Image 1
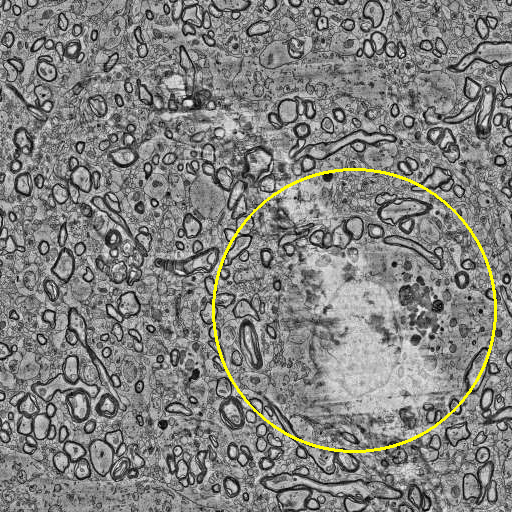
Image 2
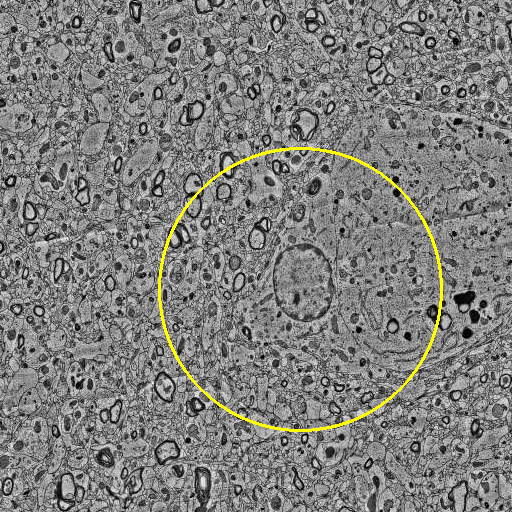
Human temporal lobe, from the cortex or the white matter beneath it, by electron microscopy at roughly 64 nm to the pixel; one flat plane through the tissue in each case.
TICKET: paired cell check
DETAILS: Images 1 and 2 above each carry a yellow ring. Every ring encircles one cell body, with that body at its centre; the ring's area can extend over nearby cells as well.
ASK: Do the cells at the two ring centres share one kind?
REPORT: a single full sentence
No, the ring-centre cells of Images 1 and 2 belong to two kinds.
